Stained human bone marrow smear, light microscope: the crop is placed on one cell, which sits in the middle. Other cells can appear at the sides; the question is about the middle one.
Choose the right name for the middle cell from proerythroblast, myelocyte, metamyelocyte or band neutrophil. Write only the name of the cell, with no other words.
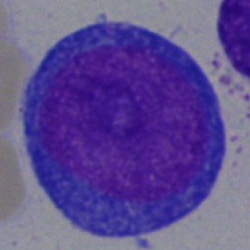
proerythroblast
